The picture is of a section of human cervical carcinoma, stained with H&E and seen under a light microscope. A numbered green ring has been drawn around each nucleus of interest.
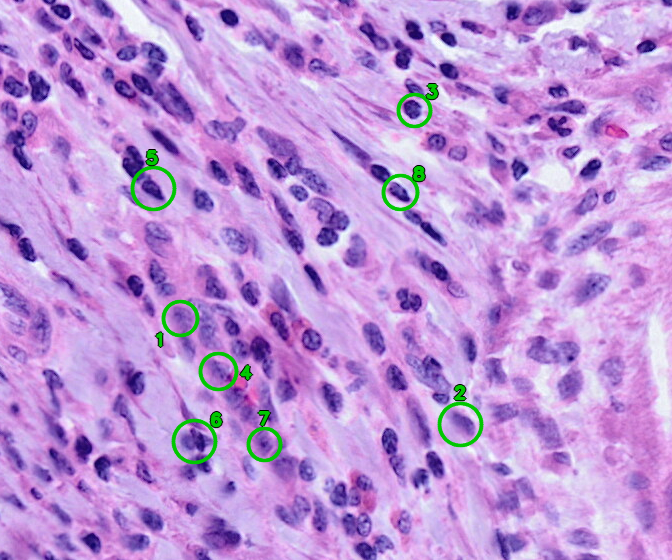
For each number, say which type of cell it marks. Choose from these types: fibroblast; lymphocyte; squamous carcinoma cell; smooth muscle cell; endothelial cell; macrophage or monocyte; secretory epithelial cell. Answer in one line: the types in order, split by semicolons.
endothelial cell; macrophage or monocyte; lymphocyte; endothelial cell; lymphocyte; lymphocyte; endothelial cell; lymphocyte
